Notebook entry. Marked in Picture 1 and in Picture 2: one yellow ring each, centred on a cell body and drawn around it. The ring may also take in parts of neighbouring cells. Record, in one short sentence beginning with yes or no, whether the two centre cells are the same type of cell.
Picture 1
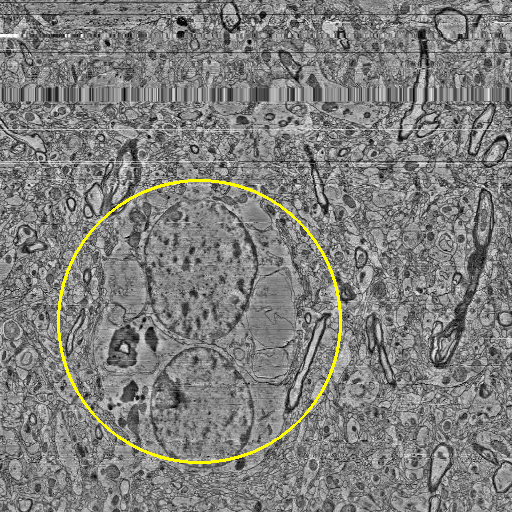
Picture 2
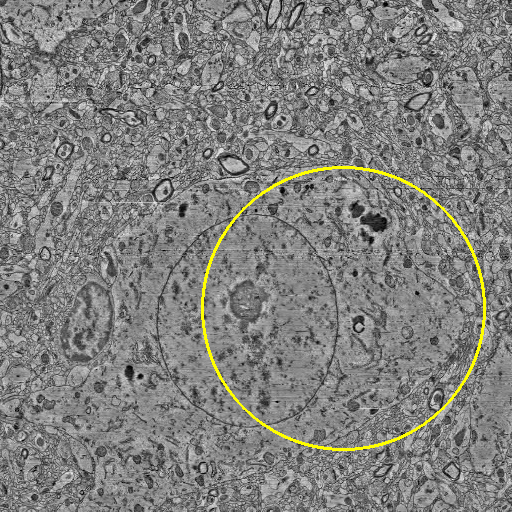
No, they are two types of cell.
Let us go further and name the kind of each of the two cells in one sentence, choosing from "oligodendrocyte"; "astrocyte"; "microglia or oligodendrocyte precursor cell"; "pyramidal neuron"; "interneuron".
The ring of the first picture is on an astrocyte, the ring of the second on a pyramidal neuron.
